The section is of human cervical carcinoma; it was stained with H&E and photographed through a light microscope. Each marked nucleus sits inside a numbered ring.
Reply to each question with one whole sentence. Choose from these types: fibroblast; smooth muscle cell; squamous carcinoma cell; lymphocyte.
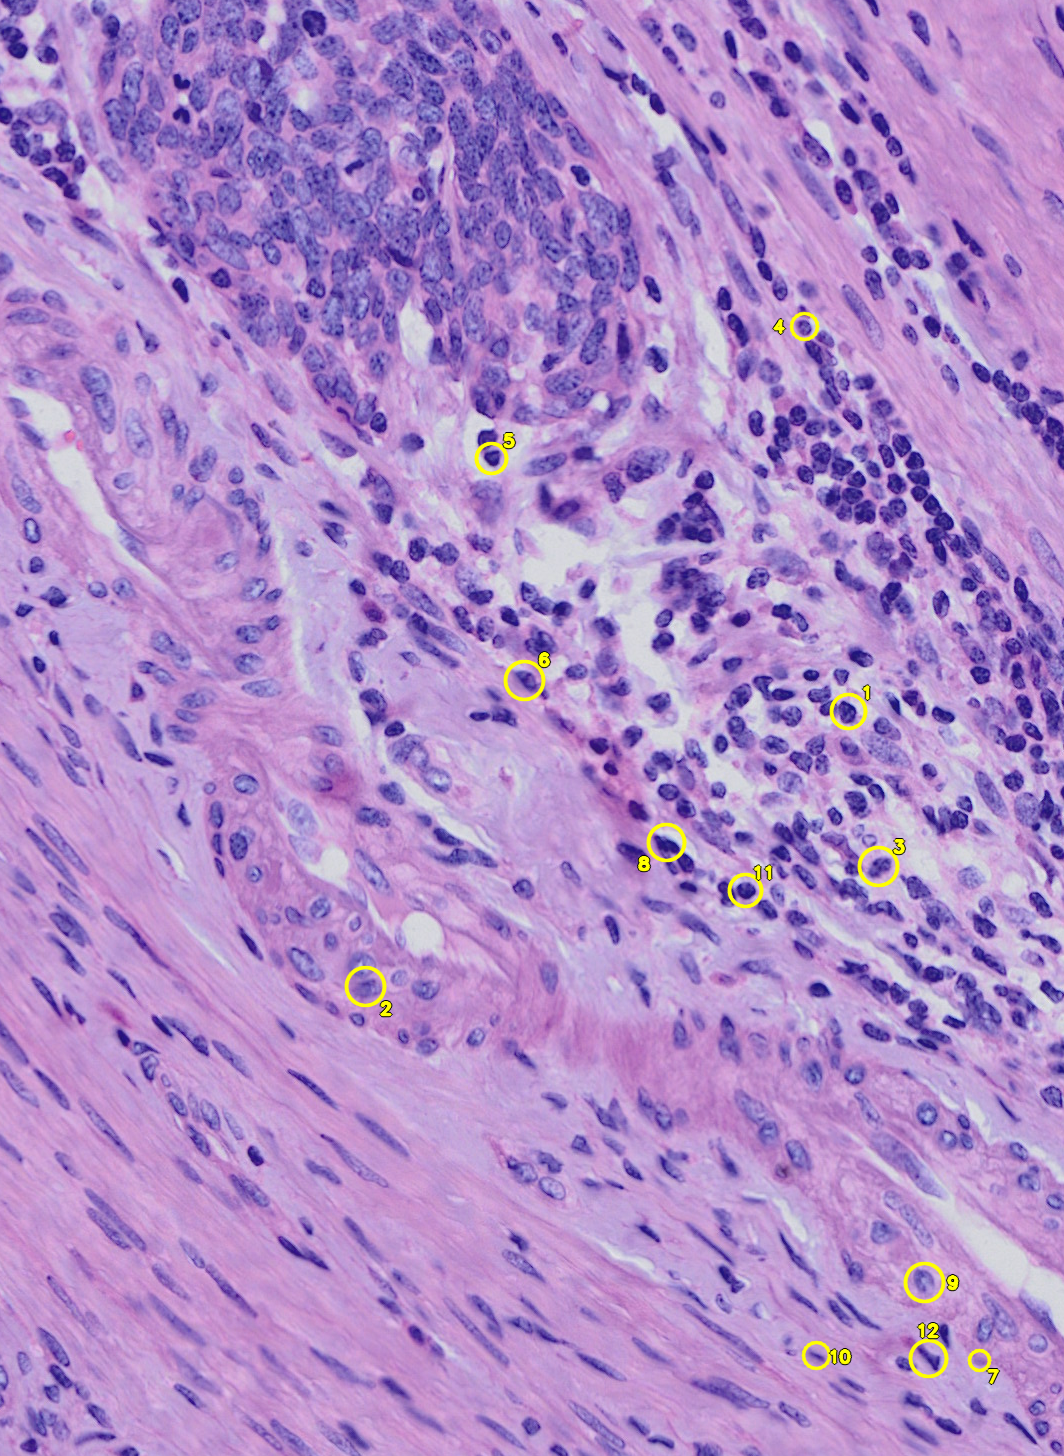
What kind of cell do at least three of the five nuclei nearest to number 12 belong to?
Of the five nuclei nearest to number 12, most belong to lymphocytes.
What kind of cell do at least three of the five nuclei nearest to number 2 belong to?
Most of the five nuclei nearest to number 2 are those of smooth muscle cells.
